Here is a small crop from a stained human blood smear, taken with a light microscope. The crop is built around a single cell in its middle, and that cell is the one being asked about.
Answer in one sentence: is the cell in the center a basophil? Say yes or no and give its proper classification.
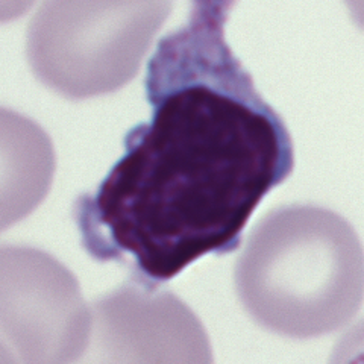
No, the cell in the centre is a typical lymphocyte instead of a basophil.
